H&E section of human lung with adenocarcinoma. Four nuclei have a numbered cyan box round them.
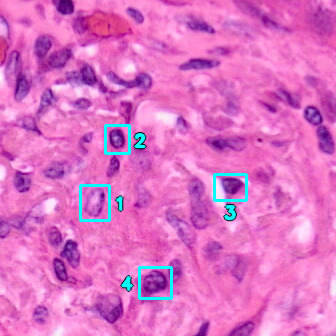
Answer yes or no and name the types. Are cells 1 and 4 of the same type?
No, rather, cell 1 is a macrophage or monocyte and cell 4 is a plasma cell.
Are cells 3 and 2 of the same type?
No, the proper labels are a plasma cell for cell 3 and a mast cell for cell 2.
